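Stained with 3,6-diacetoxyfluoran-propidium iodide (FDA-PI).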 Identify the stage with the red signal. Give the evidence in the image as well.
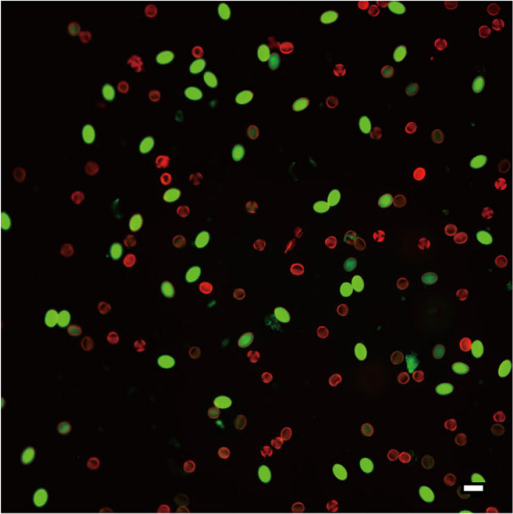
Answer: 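Many grains are outlined or filled in red. Several red grains look smaller, shrunken or folded compared with the green ones. The answer: inactive pollen.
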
